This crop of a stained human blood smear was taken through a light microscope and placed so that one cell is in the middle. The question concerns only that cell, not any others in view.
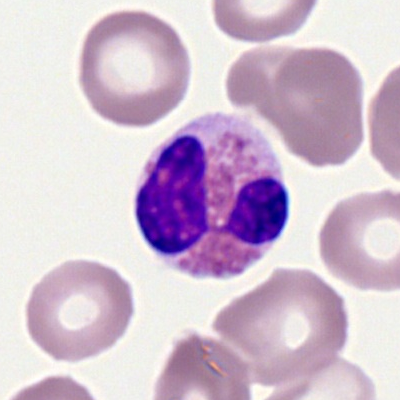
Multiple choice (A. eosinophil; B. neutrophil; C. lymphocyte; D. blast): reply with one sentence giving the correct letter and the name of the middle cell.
The one cell at the centre is an eosinophil, as correctly stated in option A.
